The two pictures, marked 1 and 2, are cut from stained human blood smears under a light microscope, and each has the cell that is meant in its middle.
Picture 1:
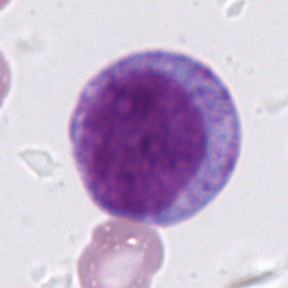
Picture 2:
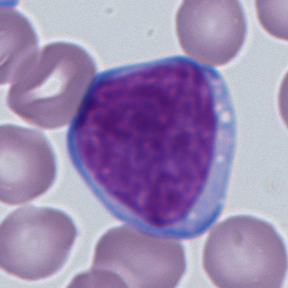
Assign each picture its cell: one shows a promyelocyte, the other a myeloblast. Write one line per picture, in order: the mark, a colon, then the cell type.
1: promyelocyte
2: myeloblast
